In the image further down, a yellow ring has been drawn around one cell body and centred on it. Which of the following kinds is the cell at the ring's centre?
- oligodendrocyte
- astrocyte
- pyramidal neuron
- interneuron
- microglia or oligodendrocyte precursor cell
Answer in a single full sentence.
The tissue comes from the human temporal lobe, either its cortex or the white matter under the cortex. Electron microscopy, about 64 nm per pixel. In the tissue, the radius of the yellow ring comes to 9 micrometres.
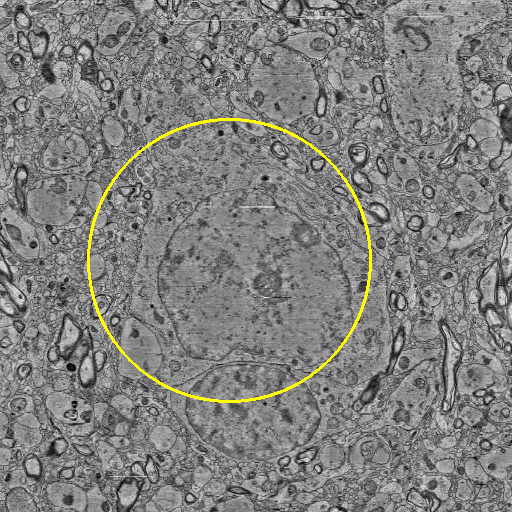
In the picture, the cell sitting at the centre of the yellow ring is an interneuron.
